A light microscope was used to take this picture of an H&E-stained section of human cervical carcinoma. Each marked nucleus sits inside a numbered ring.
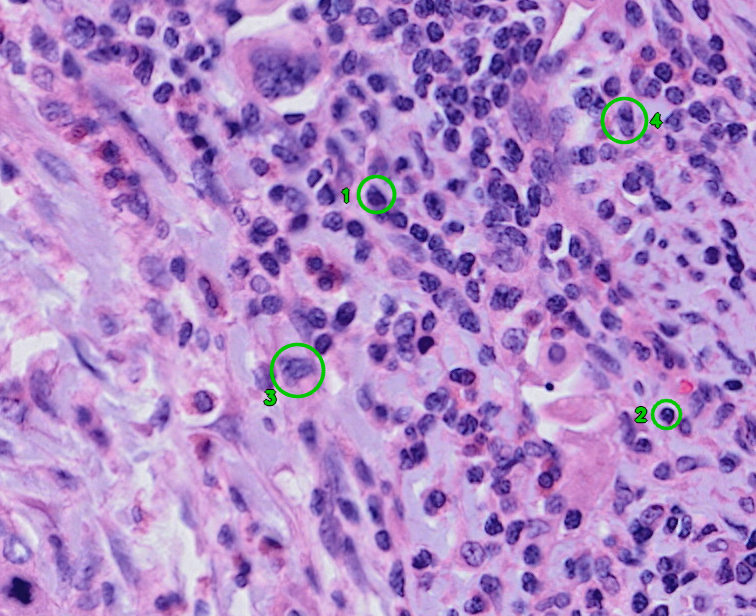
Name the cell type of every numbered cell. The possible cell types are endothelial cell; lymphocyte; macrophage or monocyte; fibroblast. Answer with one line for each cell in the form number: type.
1: lymphocyte
2: lymphocyte
3: endothelial cell
4: lymphocyte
